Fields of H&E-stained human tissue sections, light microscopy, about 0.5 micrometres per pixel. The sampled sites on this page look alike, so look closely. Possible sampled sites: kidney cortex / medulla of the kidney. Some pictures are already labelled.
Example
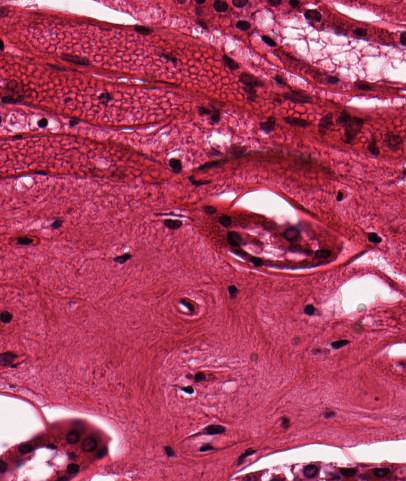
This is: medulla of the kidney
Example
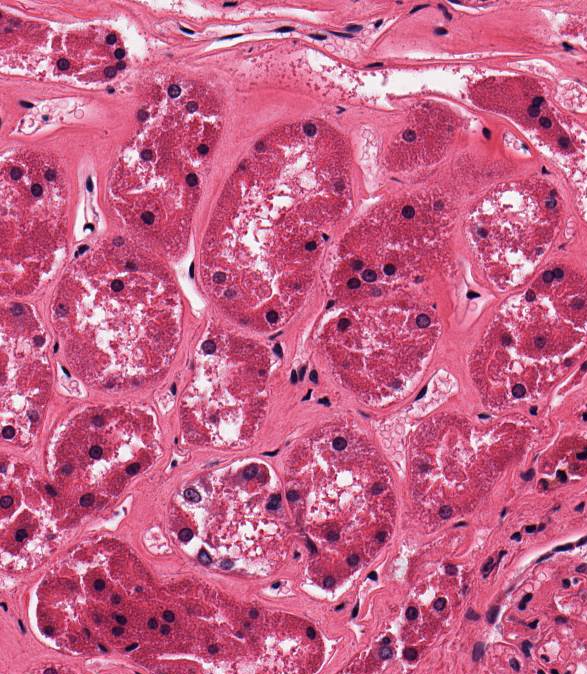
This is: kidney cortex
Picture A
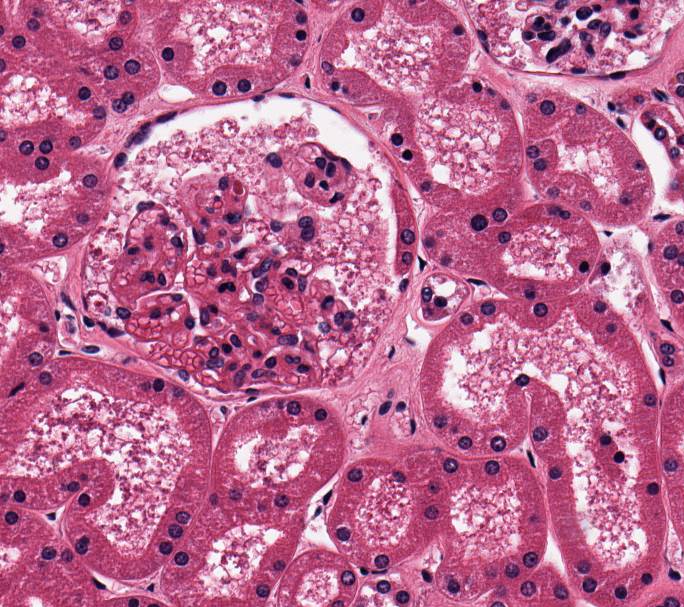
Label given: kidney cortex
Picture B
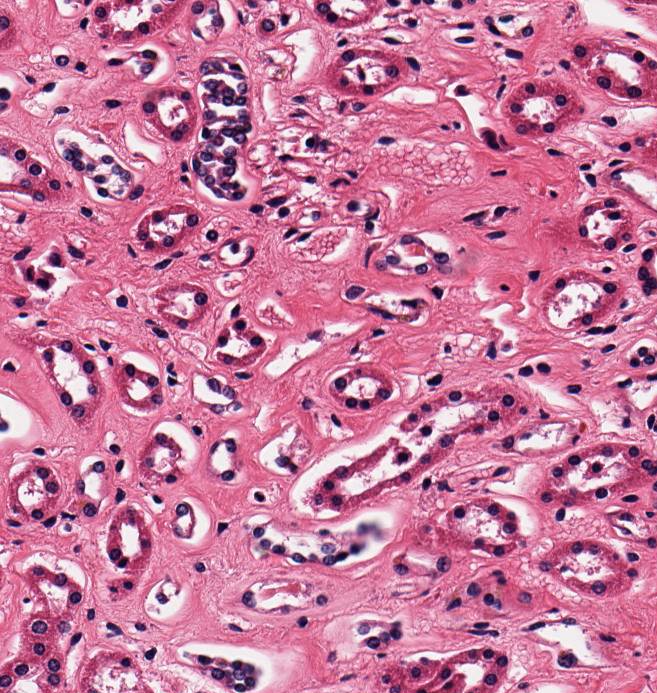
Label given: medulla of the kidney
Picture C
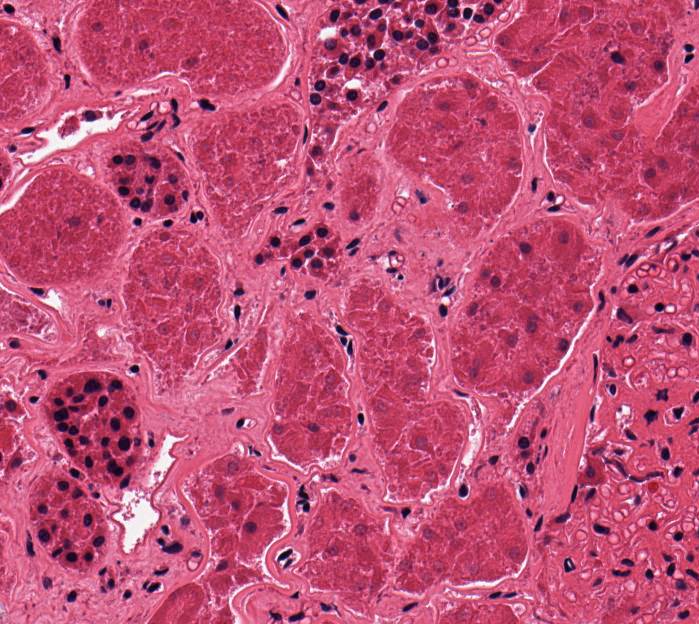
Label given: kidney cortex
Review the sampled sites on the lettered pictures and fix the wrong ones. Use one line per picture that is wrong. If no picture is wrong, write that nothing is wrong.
A is labelled kidney cortex; correct label: medulla of the kidney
